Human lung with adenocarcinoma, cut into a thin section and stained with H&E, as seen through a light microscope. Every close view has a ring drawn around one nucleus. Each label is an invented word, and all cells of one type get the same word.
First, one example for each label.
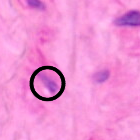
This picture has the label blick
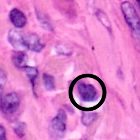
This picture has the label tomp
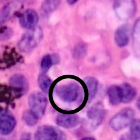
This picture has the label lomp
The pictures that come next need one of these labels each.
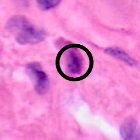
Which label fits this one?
tomp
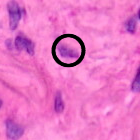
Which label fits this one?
blick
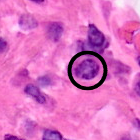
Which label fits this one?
tomp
